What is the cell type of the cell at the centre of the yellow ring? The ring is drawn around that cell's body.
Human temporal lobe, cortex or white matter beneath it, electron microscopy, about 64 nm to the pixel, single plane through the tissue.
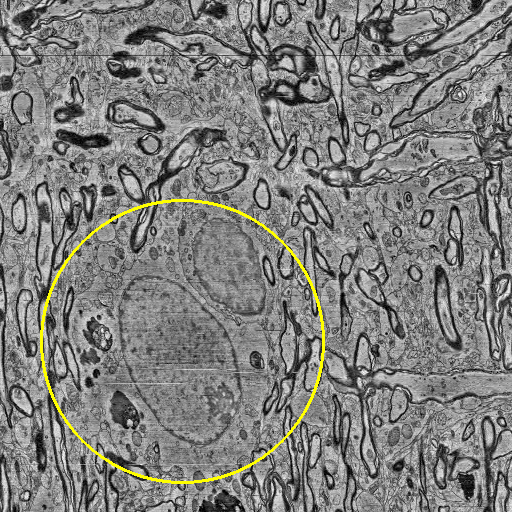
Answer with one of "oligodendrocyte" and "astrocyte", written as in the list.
astrocyte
